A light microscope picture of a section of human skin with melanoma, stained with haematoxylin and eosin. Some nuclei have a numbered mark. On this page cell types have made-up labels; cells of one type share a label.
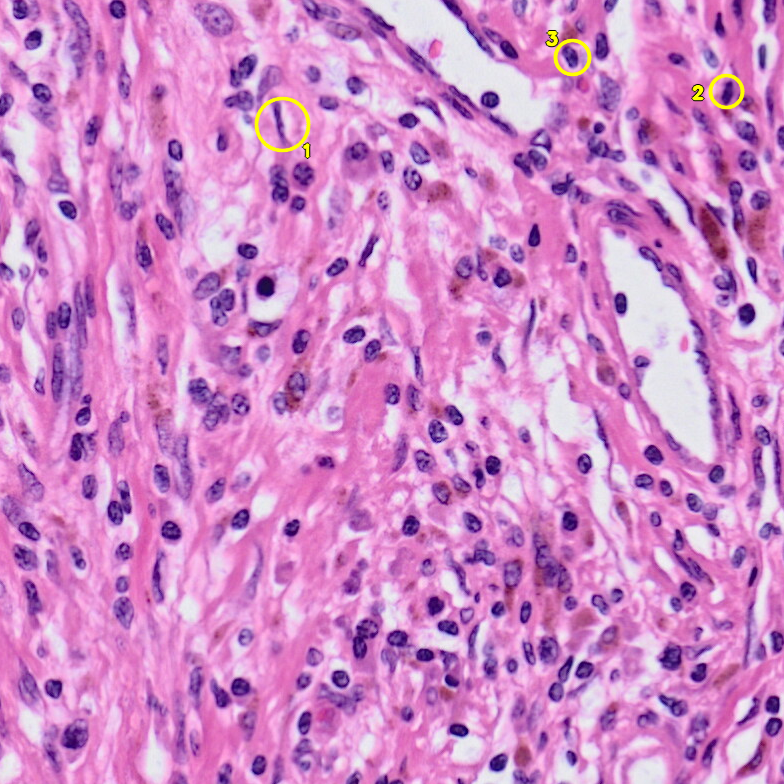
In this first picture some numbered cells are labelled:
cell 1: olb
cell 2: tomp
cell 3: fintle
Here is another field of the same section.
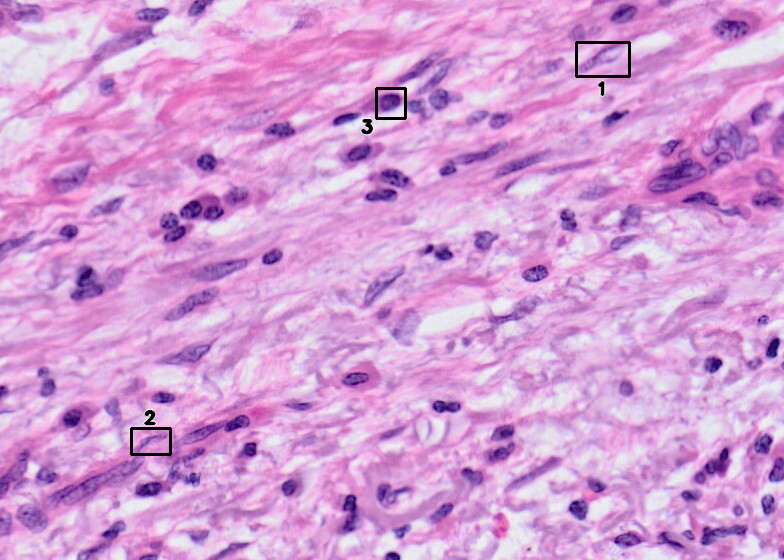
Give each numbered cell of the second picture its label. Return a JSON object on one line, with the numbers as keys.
{"1": "olb", "2": "olb", "3": "tomp"}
